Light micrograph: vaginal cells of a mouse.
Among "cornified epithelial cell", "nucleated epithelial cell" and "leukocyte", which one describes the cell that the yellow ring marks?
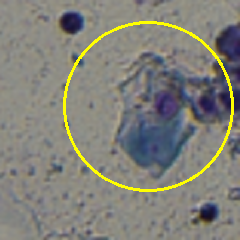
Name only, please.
nucleated epithelial cell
